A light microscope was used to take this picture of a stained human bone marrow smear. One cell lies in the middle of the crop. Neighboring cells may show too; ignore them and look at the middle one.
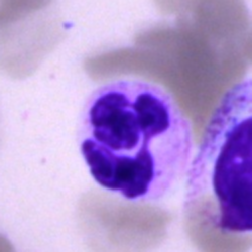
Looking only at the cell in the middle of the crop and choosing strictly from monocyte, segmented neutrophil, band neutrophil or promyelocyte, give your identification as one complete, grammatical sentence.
As for the cell in the middle, it is a segmented neutrophil.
